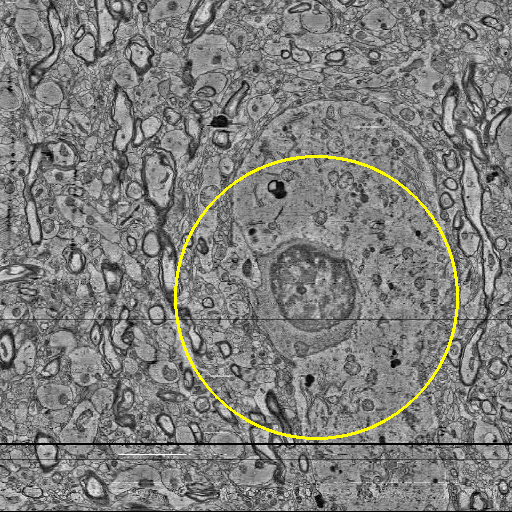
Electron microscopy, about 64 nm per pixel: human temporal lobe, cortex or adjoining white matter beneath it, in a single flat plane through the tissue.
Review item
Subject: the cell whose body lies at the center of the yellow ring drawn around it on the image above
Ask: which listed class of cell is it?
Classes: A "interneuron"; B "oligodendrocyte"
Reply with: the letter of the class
B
